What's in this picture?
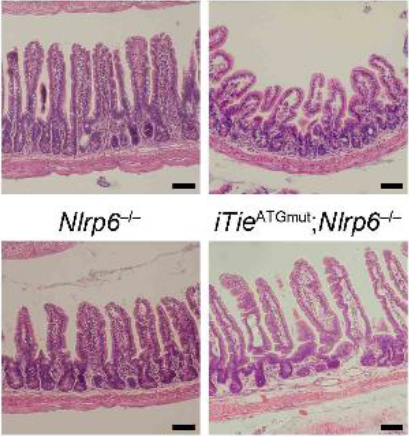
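Each field shows small intestinal mucosa with villi projecting into the lumen above crypts and a thin pink muscular coat at the bottom. The villi are covered by a simple columnar epithelium whose nuclei stain purple, with pink cytoplasm and a loose core of lamina propria. In the upper right field the villi are short, broad and stubby, whereas in the other three fields they are long and slender.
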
